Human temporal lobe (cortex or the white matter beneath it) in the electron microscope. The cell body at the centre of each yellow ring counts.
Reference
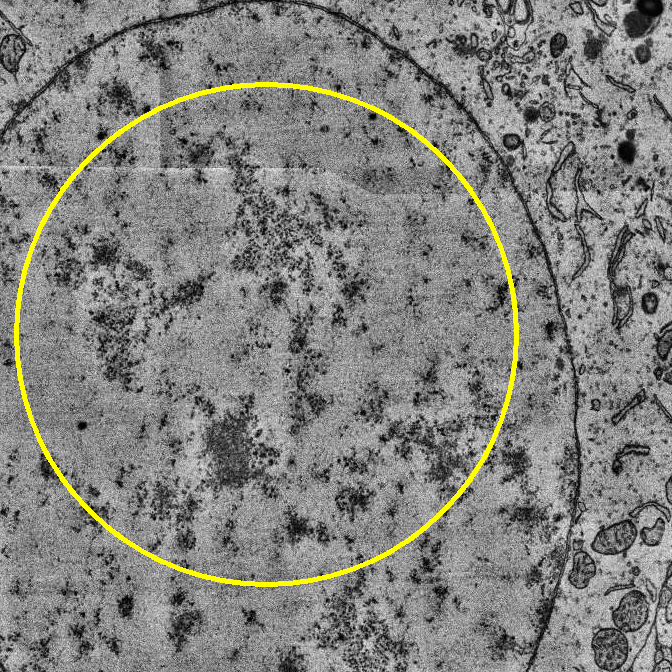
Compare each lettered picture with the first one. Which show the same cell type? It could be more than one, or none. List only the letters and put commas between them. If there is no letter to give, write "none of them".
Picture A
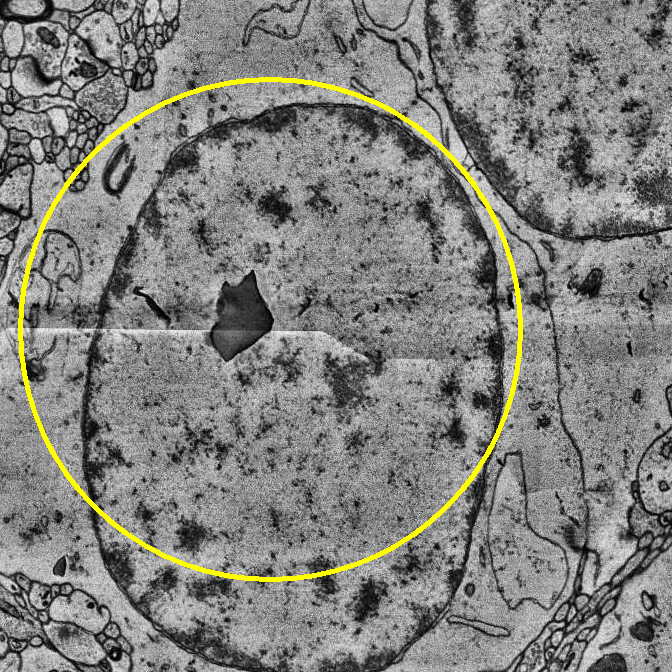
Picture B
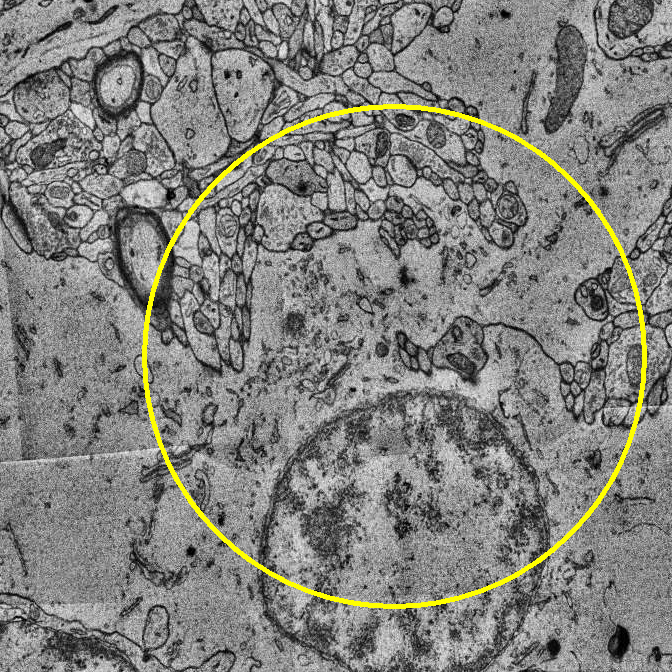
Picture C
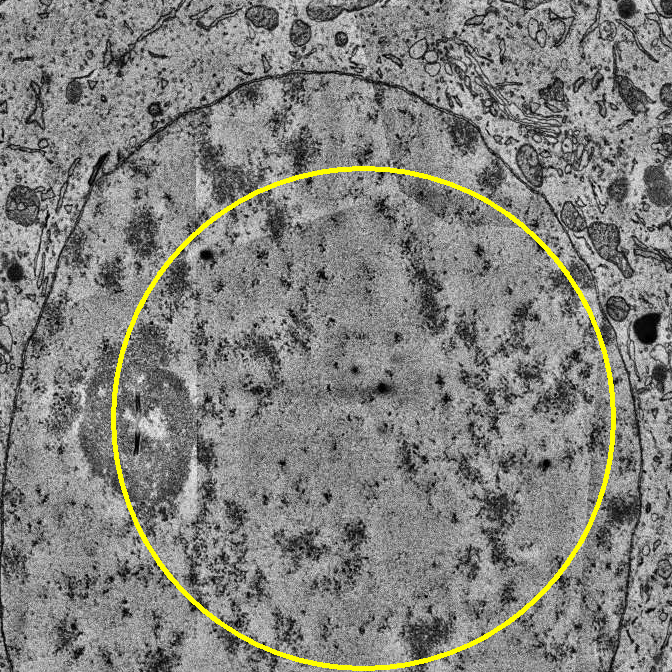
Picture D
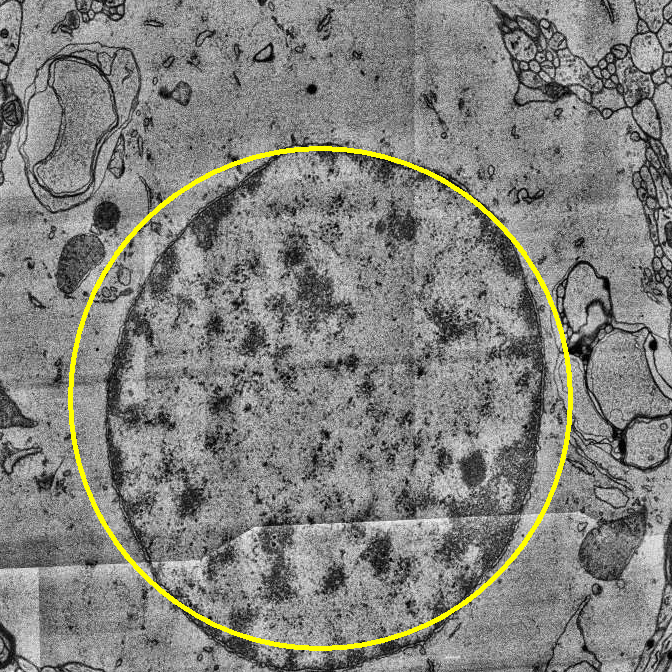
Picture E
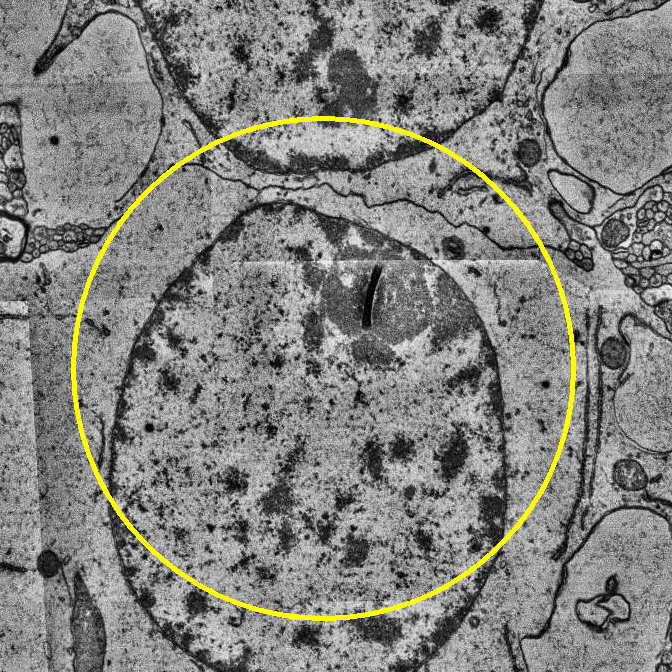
C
